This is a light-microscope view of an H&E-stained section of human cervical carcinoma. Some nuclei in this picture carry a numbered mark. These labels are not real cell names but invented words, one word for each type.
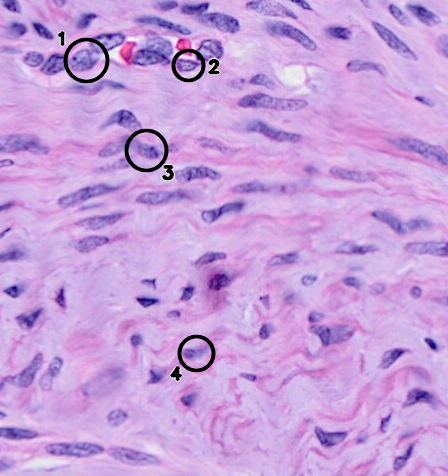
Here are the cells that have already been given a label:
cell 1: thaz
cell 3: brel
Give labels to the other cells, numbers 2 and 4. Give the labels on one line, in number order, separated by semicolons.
thaz; brel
